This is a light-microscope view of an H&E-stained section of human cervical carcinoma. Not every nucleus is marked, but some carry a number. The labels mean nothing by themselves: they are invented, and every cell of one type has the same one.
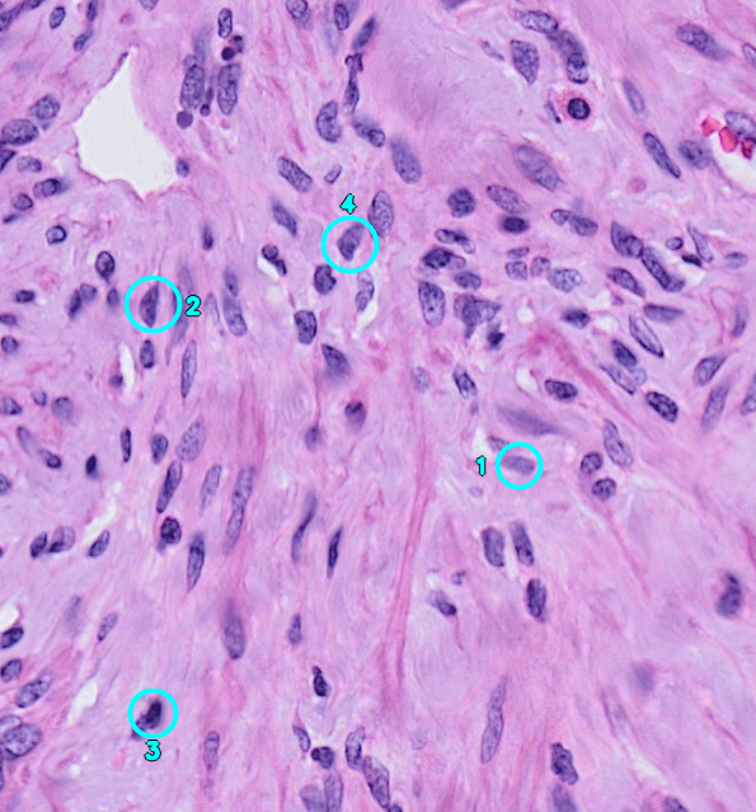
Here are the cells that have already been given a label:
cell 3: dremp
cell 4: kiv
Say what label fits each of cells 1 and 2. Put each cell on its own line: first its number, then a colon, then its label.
1: kiv
2: kiv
